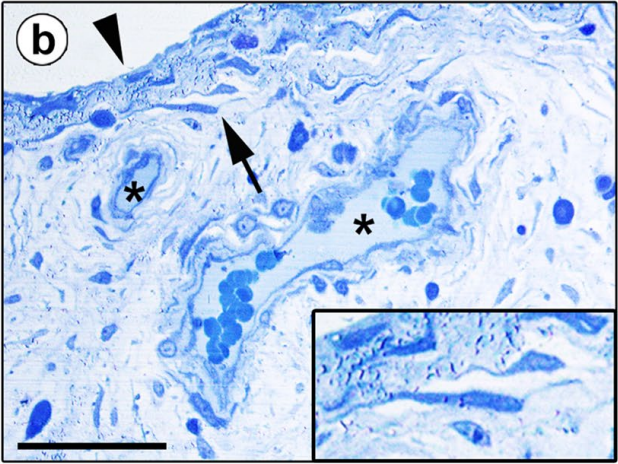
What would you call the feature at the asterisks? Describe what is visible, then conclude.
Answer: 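Each asterisk sits in a rounded or elongated lumen bounded by a thin cellular wall. One lumen contains clusters of dark blue round red blood cells.
Conclusion: blood vessels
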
